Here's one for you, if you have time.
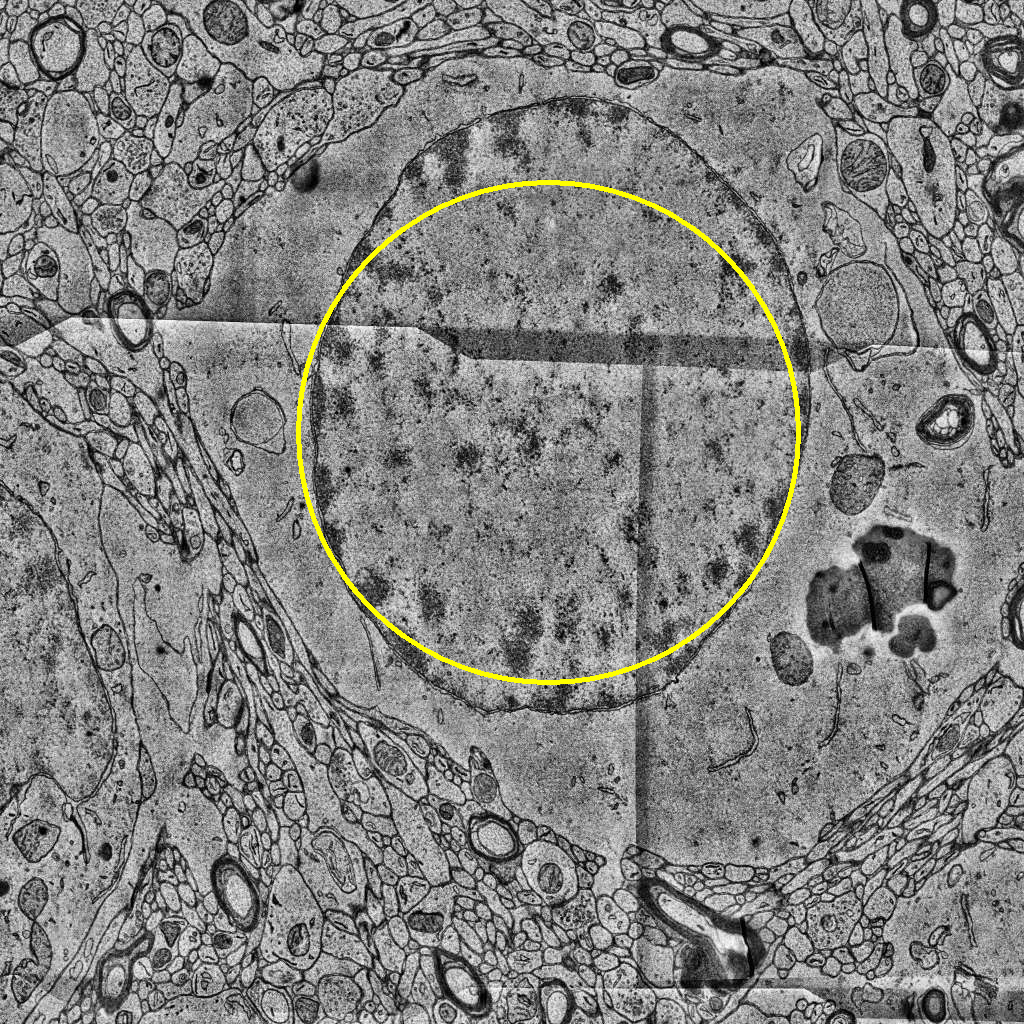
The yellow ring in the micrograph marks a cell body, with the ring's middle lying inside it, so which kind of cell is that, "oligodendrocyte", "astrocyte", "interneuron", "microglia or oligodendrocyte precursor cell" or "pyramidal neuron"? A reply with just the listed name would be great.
astrocyte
